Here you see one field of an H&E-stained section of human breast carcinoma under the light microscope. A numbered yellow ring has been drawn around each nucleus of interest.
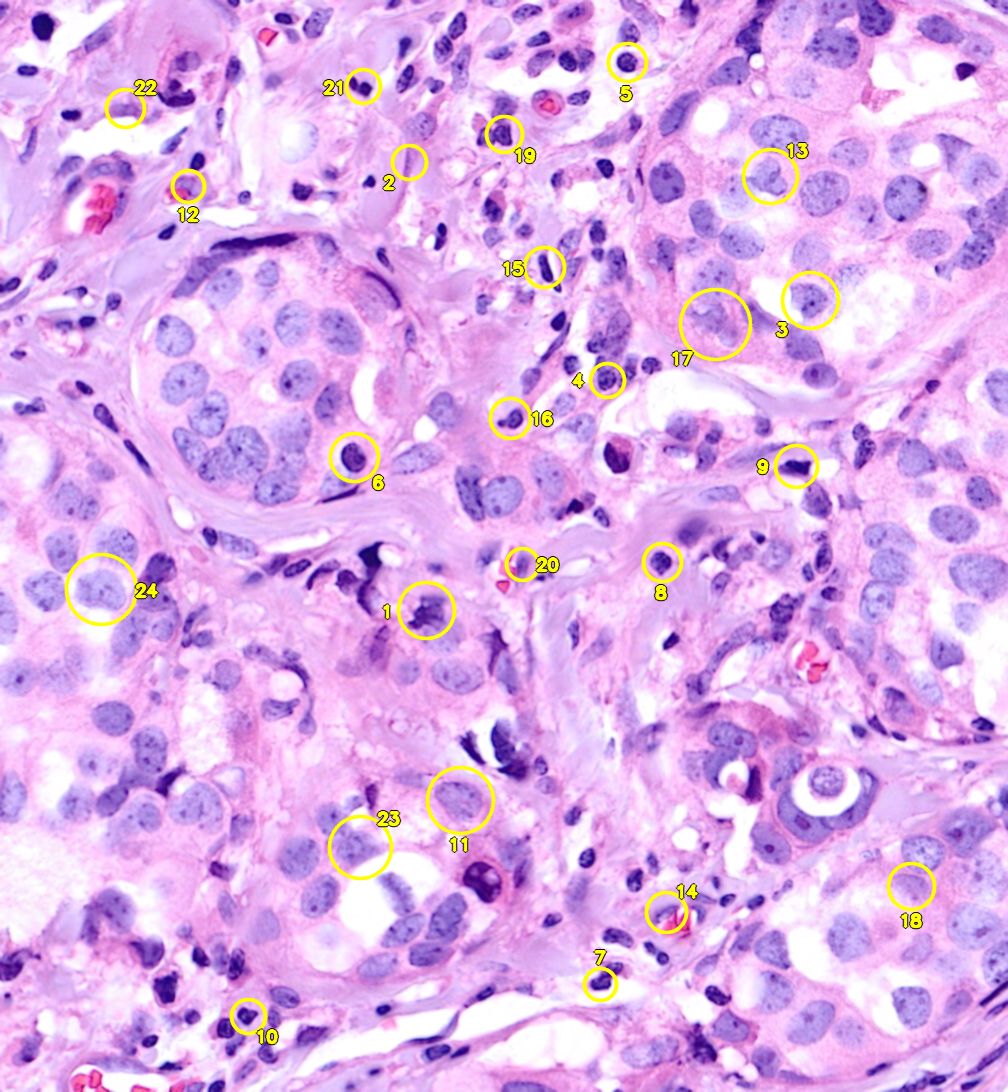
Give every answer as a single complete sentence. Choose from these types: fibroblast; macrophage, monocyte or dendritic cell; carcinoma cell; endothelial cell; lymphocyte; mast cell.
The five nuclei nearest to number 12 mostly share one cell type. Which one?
Lymphocytes make up most of the five nuclei closest to number 12.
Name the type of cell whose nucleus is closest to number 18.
The nucleus nearest to number 18 is that of a carcinoma cell.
